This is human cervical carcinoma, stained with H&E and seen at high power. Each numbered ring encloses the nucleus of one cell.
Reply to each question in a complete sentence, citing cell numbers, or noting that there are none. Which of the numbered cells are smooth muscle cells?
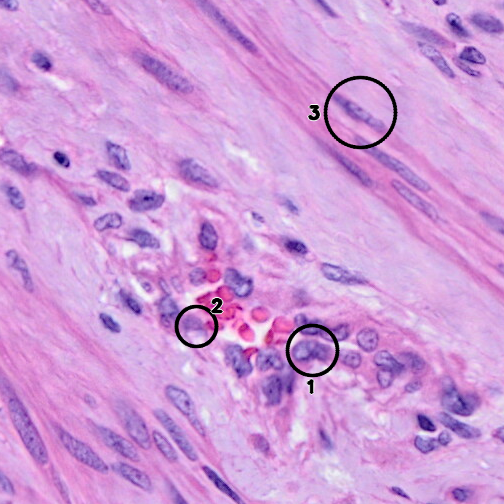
Only the cell with the number 3 is a smooth muscle cell.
